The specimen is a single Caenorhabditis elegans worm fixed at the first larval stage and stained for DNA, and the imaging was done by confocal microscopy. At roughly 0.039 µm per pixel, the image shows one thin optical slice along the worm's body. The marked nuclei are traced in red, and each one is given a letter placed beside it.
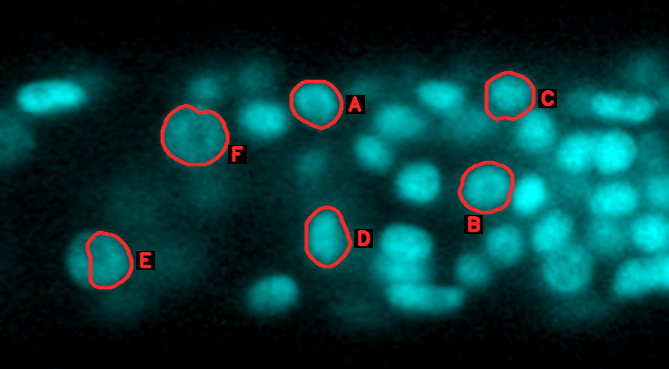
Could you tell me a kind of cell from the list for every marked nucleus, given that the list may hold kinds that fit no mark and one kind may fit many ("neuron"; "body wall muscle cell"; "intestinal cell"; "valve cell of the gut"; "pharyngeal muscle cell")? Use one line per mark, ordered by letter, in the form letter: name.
A: body wall muscle cell
B: pharyngeal muscle cell
C: neuron
D: valve cell of the gut
E: intestinal cell
F: intestinal cell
